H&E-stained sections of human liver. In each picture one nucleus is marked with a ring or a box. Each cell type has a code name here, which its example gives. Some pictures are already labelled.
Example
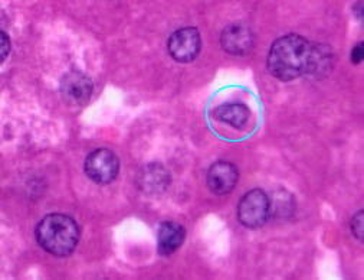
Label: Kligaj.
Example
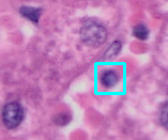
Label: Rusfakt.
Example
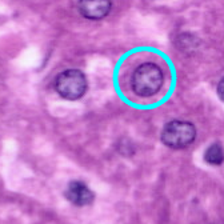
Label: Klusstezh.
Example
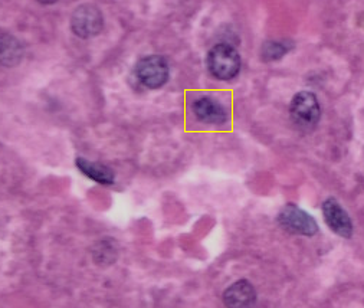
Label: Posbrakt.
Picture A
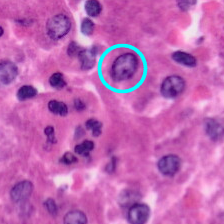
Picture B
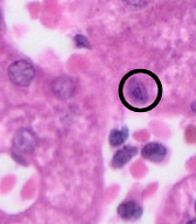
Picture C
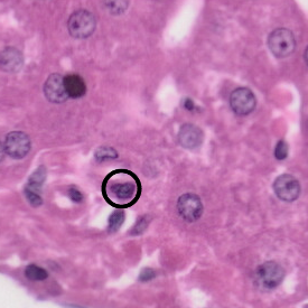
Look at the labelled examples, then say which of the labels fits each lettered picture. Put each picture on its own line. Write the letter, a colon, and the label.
A: Klusstezh.
B: Posbrakt.
C: Posbrakt.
